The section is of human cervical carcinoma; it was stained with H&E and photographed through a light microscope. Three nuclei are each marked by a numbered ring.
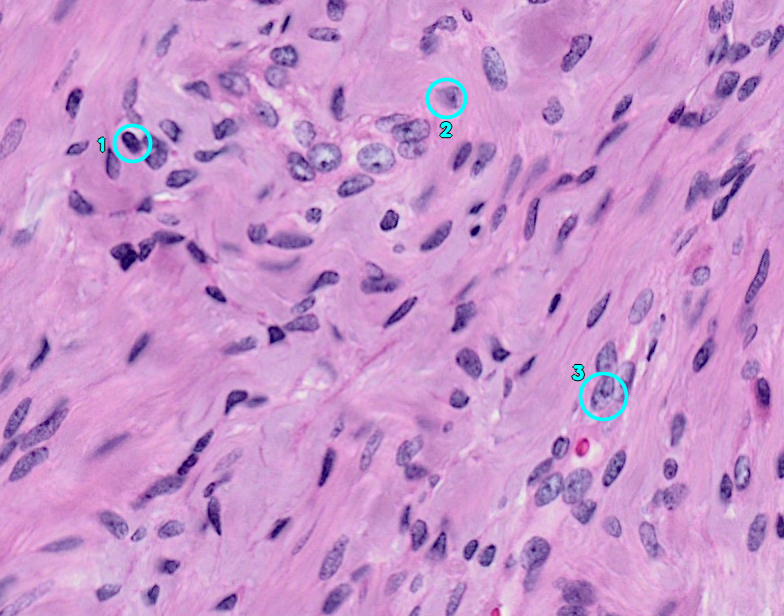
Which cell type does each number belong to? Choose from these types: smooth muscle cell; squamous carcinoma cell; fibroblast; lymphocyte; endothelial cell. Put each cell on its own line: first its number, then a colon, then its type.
1: lymphocyte
2: fibroblast
3: endothelial cell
